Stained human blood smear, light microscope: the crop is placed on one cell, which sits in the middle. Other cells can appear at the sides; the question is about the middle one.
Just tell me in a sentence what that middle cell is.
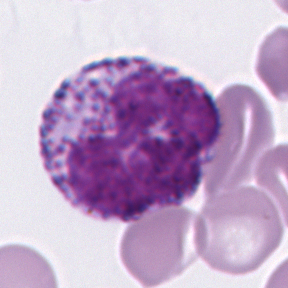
The cell centered in this field of view is a basophil.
